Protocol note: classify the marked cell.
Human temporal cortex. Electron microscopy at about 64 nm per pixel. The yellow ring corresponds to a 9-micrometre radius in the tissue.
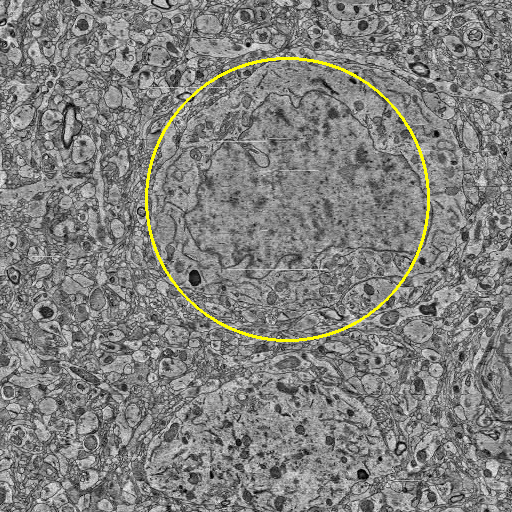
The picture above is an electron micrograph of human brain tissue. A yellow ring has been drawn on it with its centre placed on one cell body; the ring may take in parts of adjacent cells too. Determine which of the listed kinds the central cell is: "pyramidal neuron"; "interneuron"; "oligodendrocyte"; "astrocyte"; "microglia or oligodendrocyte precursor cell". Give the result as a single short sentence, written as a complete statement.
The central cell is an interneuron.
